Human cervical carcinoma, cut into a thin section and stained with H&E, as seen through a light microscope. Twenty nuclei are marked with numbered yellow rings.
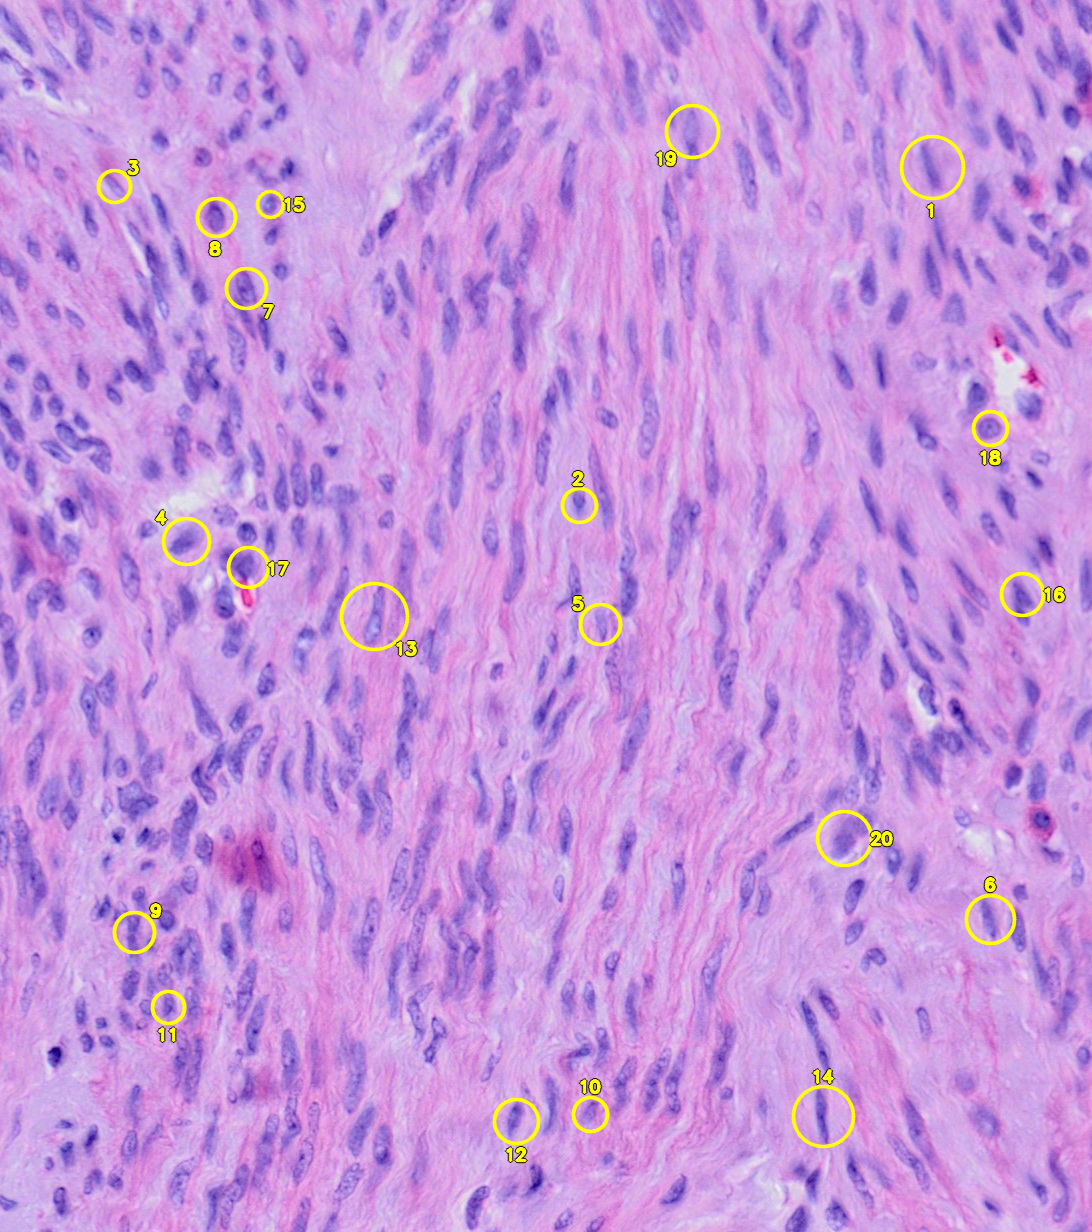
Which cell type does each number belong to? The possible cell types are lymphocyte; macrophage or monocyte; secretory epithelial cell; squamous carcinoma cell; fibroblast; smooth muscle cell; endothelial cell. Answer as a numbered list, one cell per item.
1. fibroblast
2. fibroblast
3. smooth muscle cell
4. fibroblast
5. smooth muscle cell
6. fibroblast
7. smooth muscle cell
8. smooth muscle cell
9. smooth muscle cell
10. smooth muscle cell
11. smooth muscle cell
12. fibroblast
13. smooth muscle cell
14. fibroblast
15. smooth muscle cell
16. fibroblast
17. endothelial cell
18. endothelial cell
19. smooth muscle cell
20. fibroblast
